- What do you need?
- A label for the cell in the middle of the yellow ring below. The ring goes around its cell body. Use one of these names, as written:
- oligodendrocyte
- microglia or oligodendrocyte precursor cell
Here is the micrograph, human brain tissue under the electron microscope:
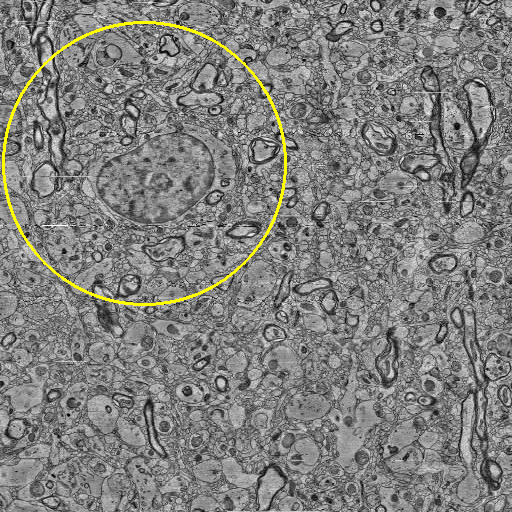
microglia or oligodendrocyte precursor cell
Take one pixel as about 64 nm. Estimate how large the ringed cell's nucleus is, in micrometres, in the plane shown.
In this plane, about 8 micrometres in length and 6 in width.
